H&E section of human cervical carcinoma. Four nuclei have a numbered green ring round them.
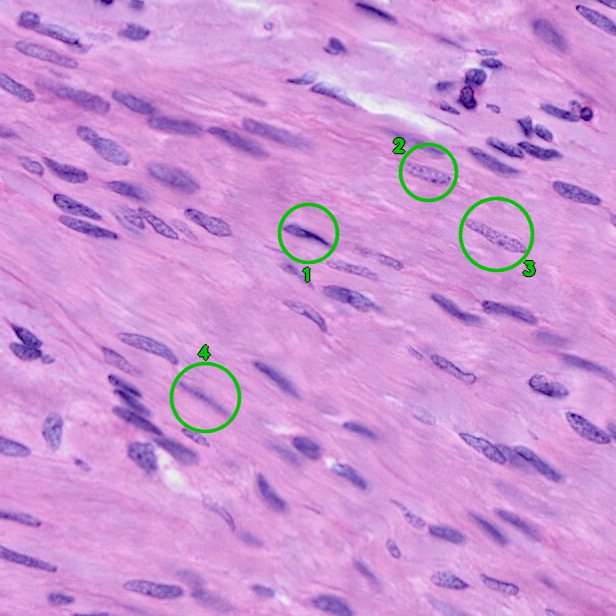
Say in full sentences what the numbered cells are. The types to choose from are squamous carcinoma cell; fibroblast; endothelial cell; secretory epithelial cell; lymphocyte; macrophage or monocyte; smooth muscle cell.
Cells 1, 3 and 4 are fibroblasts. Cell 2 is a smooth muscle cell.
